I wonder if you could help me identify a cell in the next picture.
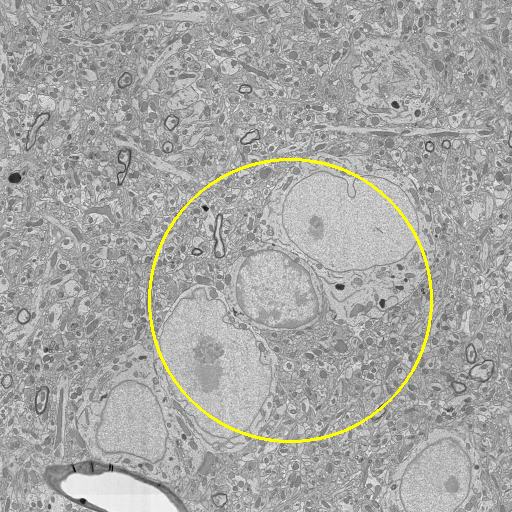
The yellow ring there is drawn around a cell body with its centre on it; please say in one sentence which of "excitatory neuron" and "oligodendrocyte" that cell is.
The yellow ring is centred on an oligodendrocyte.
